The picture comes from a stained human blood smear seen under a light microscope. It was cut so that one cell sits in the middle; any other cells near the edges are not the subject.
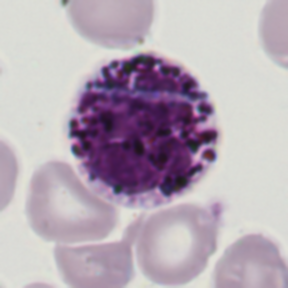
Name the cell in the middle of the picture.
basophil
